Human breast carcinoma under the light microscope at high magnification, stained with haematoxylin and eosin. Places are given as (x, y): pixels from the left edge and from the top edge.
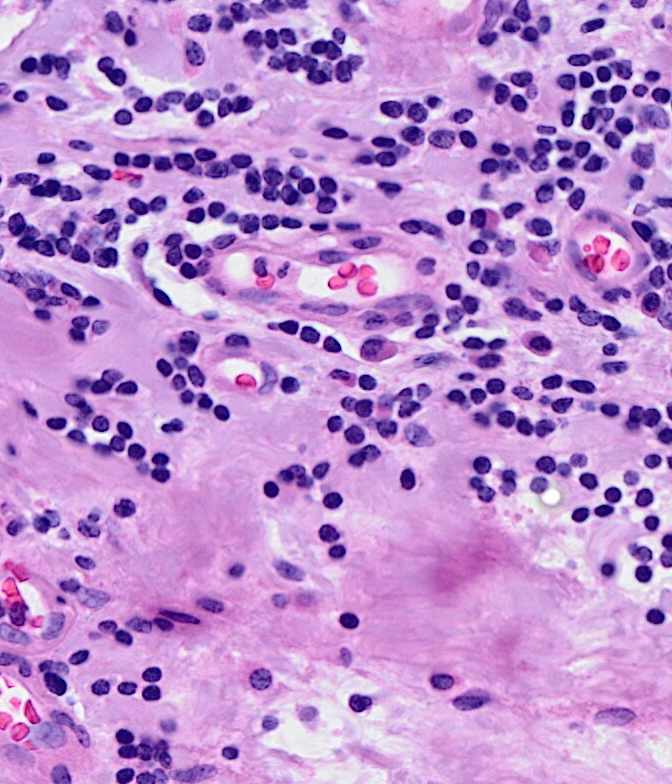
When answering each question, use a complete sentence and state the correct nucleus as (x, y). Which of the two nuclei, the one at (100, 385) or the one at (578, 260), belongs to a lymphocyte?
The nucleus at (100, 385) is part of a lymphocyte, while the other is not.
